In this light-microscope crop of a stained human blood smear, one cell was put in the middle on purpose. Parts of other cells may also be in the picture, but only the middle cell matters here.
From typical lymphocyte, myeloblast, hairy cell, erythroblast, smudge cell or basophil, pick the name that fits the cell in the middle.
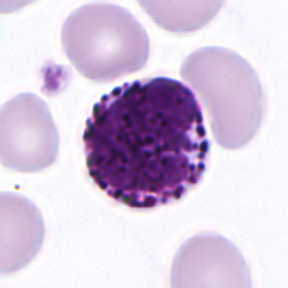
basophil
